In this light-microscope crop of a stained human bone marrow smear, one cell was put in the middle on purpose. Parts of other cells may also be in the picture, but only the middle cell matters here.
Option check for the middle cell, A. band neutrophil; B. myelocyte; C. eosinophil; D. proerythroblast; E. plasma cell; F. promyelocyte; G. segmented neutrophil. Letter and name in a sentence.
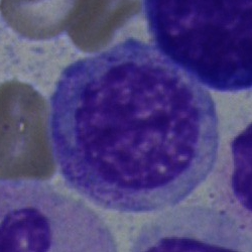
Option B is to be chosen, as the central cell is a myelocyte.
